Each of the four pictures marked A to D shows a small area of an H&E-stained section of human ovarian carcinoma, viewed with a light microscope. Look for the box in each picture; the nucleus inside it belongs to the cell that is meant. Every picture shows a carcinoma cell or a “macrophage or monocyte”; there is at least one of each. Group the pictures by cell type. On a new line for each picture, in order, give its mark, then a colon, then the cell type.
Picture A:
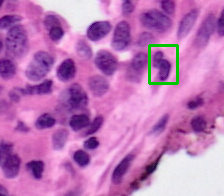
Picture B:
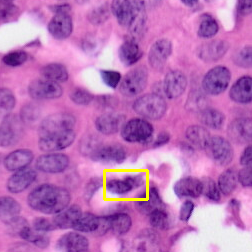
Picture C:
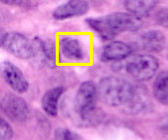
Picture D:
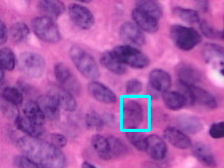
A: macrophage or monocyte
B: carcinoma cell
C: macrophage or monocyte
D: carcinoma cell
